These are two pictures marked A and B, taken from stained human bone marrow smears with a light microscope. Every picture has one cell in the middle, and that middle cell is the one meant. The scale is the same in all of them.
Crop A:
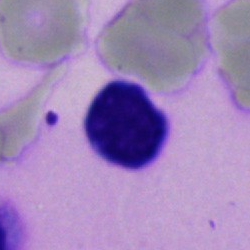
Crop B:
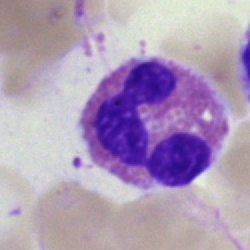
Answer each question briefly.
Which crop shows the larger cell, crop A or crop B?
B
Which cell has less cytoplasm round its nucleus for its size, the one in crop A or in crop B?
A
